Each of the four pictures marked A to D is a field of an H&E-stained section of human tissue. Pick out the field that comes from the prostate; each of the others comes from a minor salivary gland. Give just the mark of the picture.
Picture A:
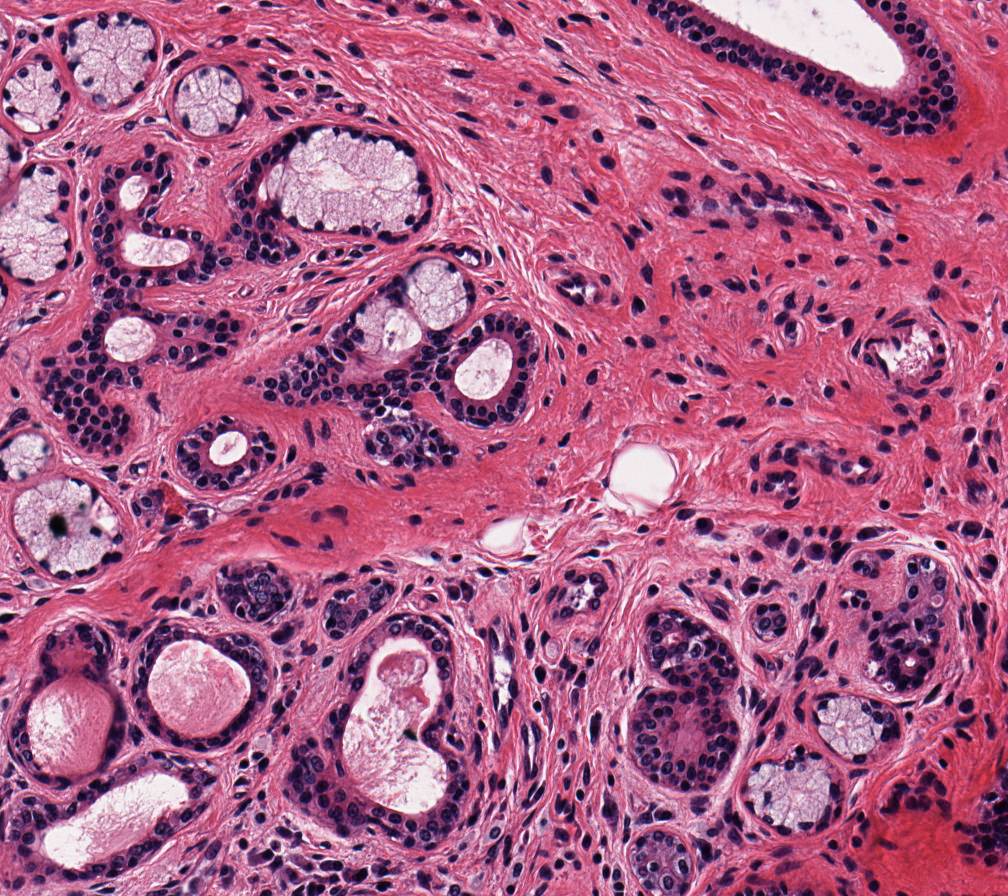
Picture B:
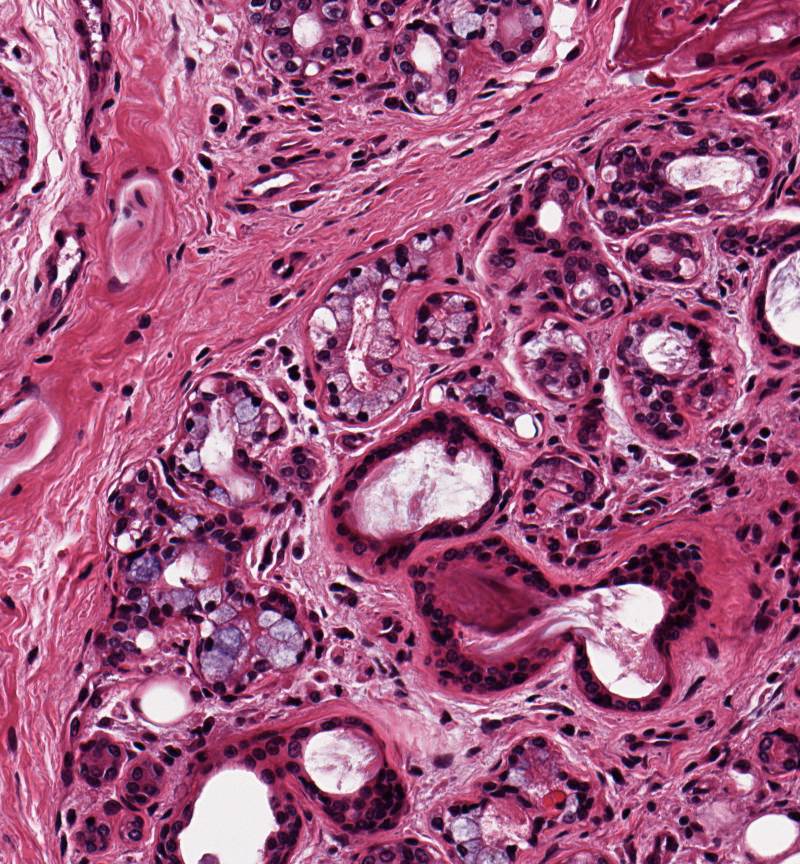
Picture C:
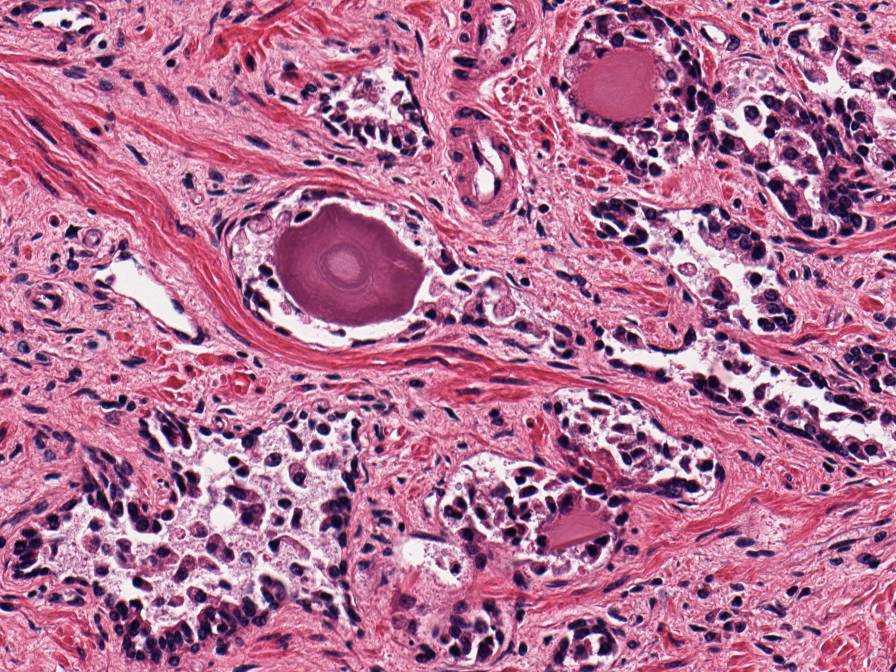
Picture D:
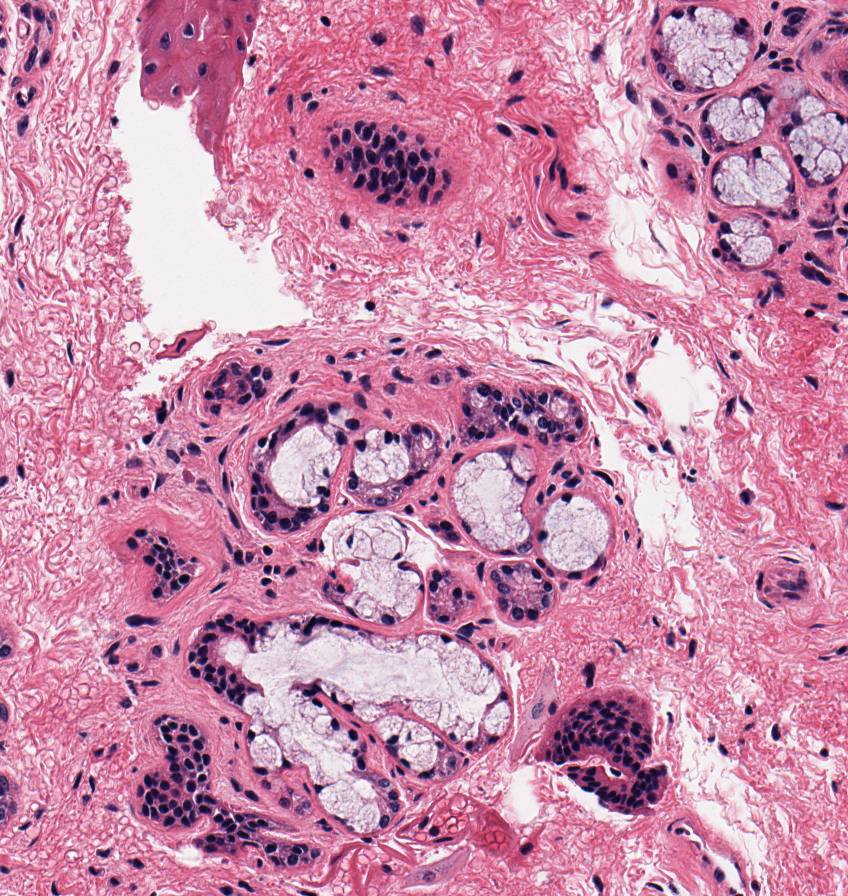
C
